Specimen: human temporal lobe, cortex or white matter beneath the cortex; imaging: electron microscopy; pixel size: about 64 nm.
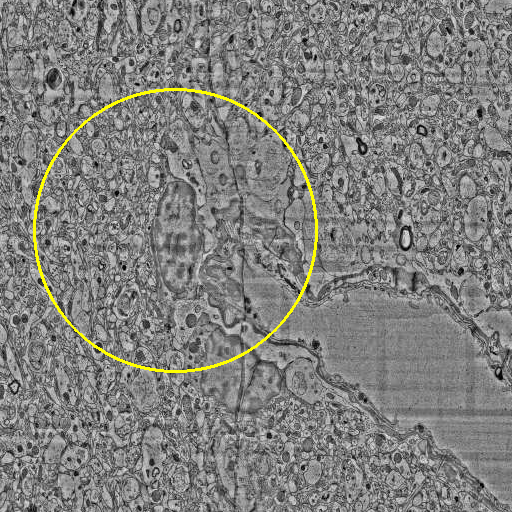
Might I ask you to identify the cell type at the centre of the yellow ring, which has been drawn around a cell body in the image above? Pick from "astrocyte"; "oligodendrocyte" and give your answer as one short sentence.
The centre of the ring falls on an oligodendrocyte.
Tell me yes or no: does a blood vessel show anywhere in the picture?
Yes, one is visible.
